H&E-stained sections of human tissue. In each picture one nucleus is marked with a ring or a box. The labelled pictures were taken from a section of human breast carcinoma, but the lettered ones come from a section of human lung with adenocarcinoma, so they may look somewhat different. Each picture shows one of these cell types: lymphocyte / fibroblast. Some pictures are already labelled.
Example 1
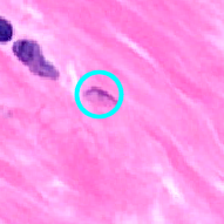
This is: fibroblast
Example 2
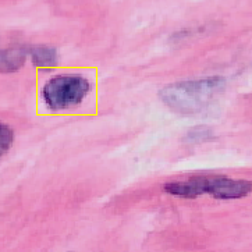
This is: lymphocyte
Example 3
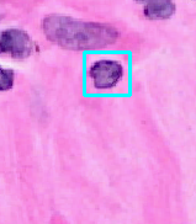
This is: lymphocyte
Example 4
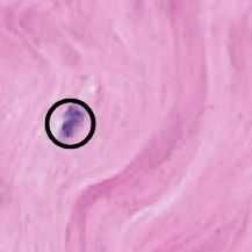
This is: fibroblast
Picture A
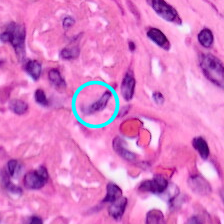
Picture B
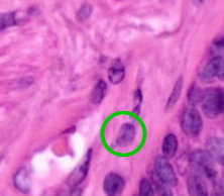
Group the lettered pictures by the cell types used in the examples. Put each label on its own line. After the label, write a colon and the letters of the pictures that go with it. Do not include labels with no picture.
fibroblast: A, B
